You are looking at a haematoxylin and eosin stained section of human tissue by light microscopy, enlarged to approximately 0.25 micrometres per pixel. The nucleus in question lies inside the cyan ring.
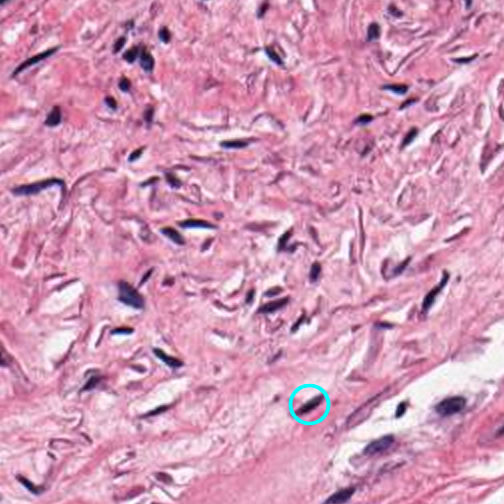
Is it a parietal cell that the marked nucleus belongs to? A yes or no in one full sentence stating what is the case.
No, the marked nucleus, rather than belonging to a parietal cell, belongs to a supporting cell.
